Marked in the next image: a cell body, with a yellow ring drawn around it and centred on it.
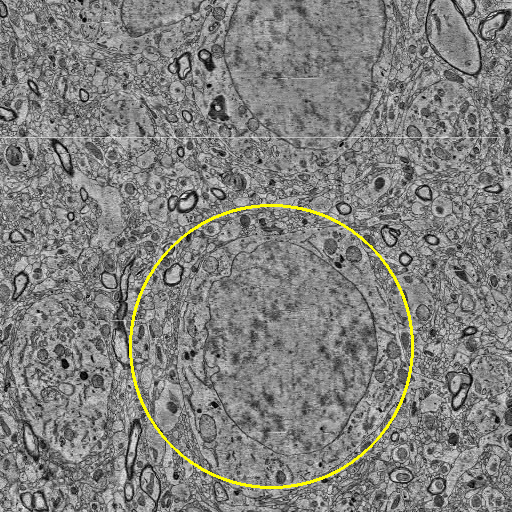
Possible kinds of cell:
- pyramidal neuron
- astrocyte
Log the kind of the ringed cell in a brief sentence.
The ringed cell body is that of a pyramidal neuron.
